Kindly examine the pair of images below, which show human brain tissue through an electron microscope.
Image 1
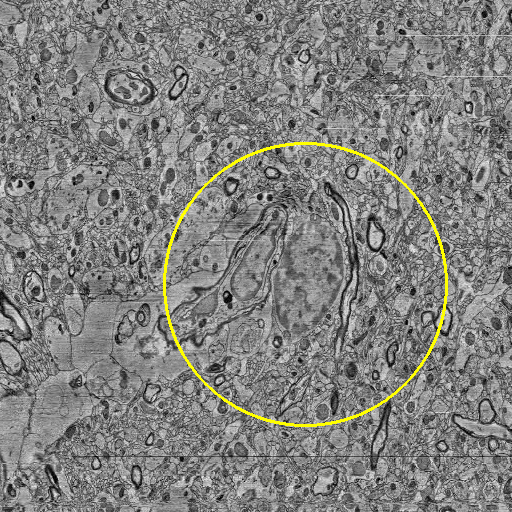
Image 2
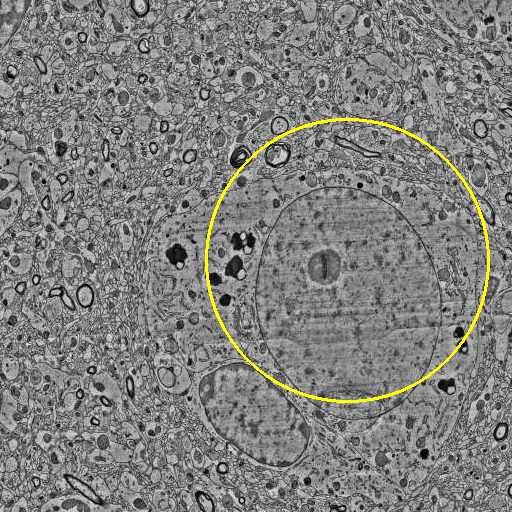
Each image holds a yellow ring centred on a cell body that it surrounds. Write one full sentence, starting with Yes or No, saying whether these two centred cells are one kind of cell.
No, the cells at the centres of the yellow rings belong to two kinds of cell.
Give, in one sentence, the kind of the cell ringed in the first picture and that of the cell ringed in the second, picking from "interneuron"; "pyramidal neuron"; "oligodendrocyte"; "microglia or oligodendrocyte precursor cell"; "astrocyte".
For the first picture it is an oligodendrocyte; for the second, a pyramidal neuron.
